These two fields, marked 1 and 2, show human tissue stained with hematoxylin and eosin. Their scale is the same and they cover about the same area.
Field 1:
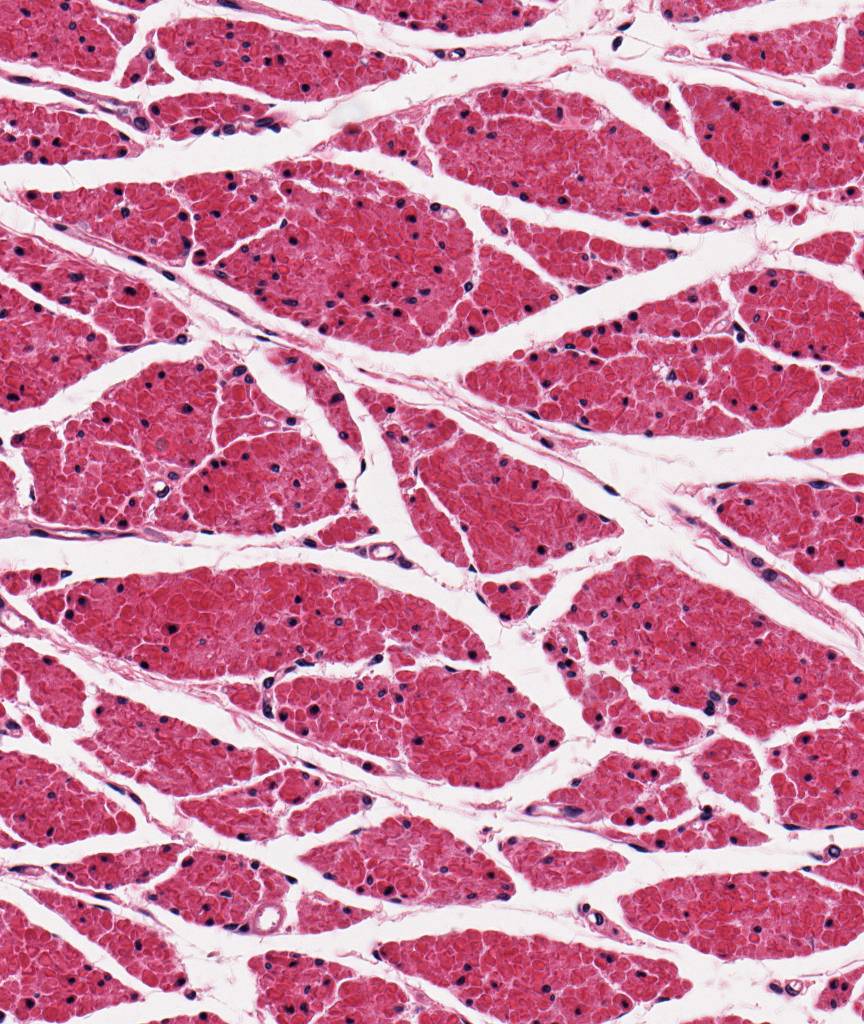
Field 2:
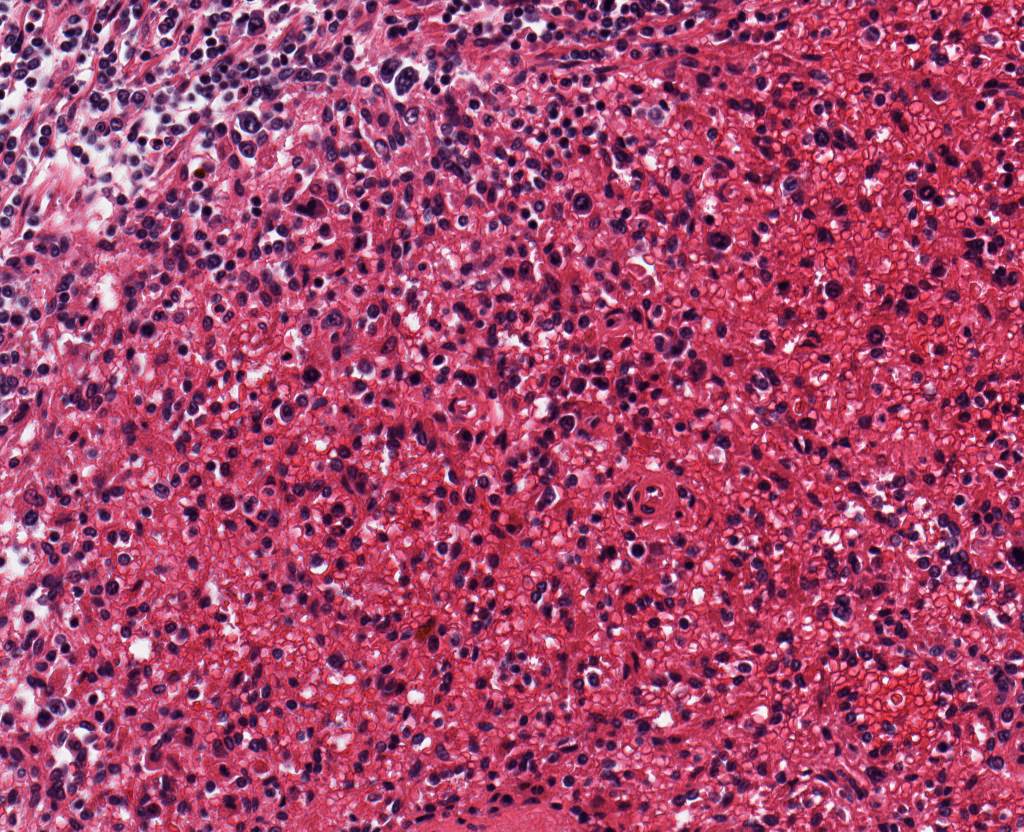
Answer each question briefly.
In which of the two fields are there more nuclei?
2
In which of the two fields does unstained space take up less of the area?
2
